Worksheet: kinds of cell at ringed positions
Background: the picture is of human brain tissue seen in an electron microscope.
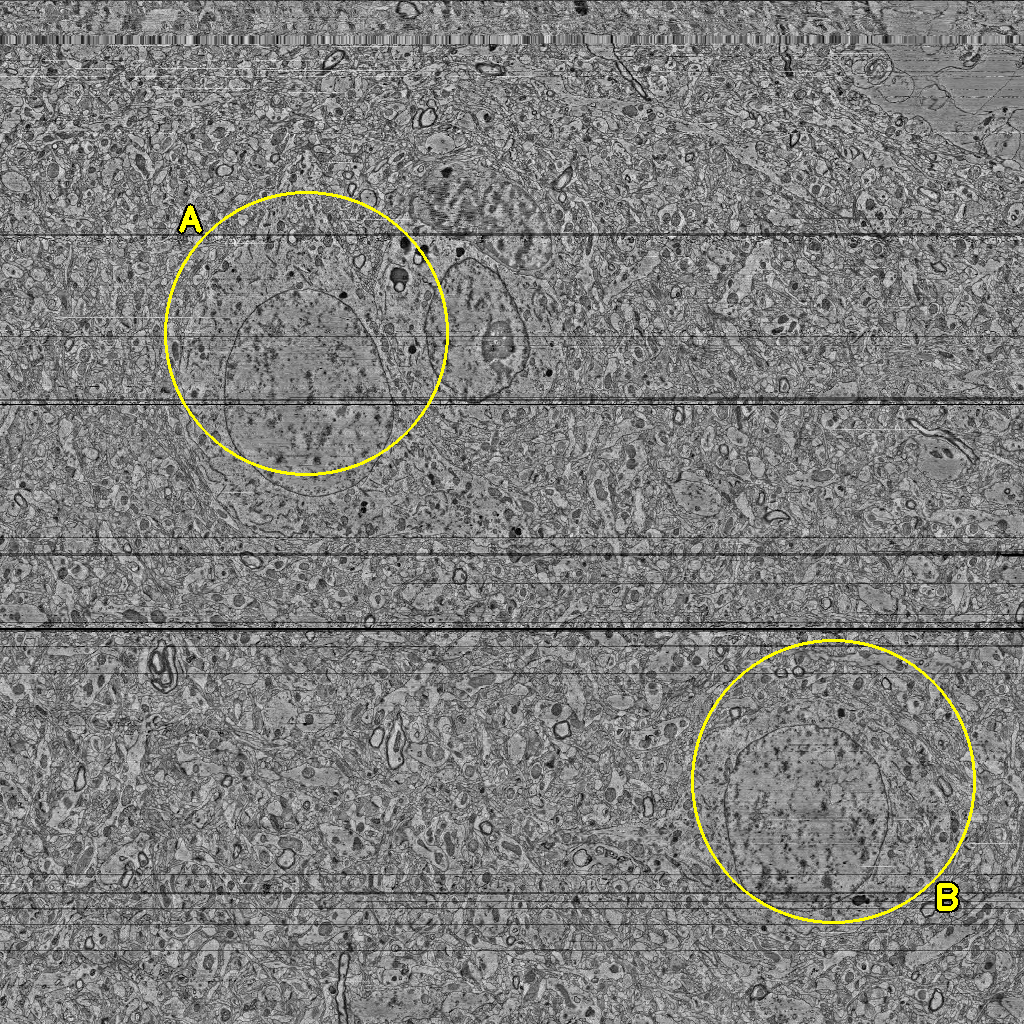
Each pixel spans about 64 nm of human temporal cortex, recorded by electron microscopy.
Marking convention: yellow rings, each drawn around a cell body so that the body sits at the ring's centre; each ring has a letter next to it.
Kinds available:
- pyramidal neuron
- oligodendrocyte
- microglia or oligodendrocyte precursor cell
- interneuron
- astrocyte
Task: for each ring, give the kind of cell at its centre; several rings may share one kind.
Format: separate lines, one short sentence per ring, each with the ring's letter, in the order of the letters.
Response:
Ring A is drawn around a pyramidal neuron.
Ring B is drawn around a pyramidal neuron.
